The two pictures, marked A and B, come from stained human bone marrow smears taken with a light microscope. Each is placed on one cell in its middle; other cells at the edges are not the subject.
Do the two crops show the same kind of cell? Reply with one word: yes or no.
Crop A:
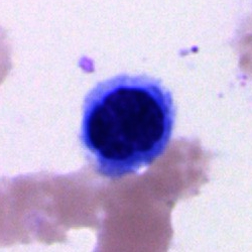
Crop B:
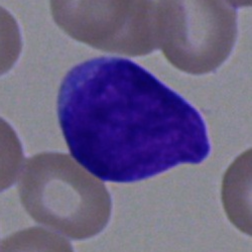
no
